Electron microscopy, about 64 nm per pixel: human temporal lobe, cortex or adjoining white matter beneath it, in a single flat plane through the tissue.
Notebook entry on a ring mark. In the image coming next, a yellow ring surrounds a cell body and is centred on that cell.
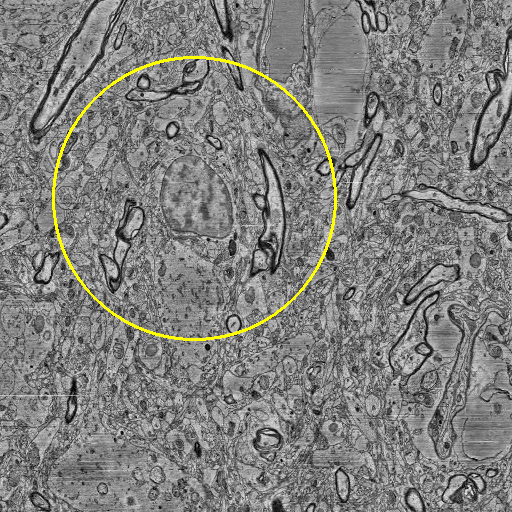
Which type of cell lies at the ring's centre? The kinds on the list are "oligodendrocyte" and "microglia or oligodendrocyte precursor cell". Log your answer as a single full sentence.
Centred in the yellow ring is a microglial cell or oligodendrocyte precursor cell, the cell recorded for this image.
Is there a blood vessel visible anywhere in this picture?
Yes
